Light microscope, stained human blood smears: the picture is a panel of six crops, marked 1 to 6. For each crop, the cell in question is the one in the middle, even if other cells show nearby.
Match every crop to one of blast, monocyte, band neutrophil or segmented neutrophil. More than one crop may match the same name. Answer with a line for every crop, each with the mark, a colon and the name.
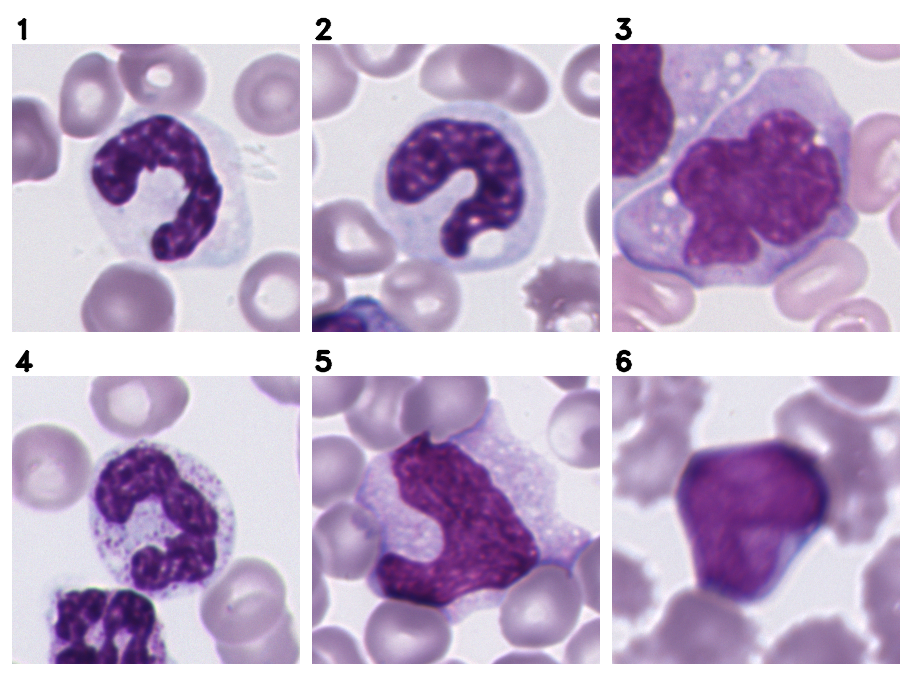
1: band neutrophil
2: band neutrophil
3: monocyte
4: segmented neutrophil
5: monocyte
6: blast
